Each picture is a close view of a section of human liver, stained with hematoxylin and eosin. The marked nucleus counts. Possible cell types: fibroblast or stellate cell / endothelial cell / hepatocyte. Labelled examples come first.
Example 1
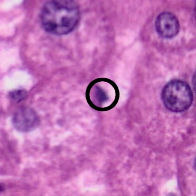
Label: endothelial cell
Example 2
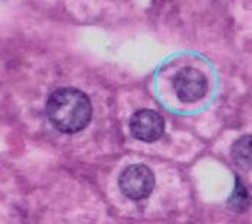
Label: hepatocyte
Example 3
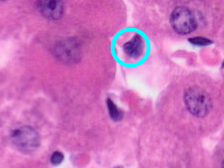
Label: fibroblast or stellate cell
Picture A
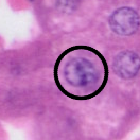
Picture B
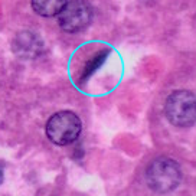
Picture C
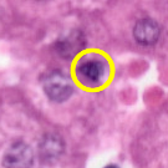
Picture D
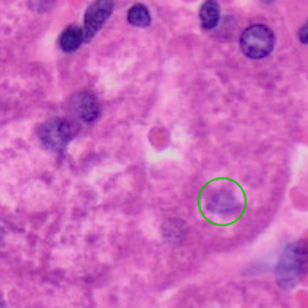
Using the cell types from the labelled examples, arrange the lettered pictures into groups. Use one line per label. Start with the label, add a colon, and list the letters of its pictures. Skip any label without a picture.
fibroblast or stellate cell: C
endothelial cell: B
hepatocyte: A, D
